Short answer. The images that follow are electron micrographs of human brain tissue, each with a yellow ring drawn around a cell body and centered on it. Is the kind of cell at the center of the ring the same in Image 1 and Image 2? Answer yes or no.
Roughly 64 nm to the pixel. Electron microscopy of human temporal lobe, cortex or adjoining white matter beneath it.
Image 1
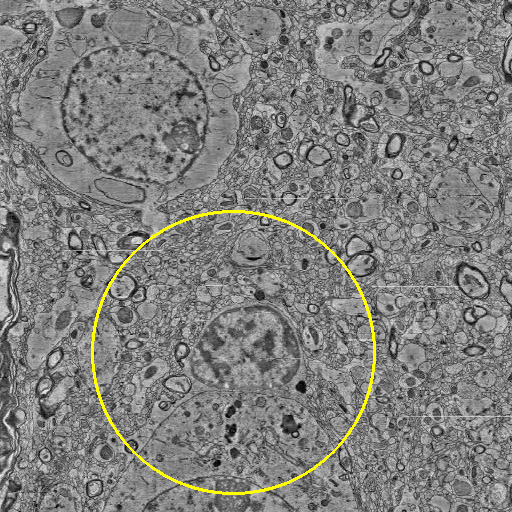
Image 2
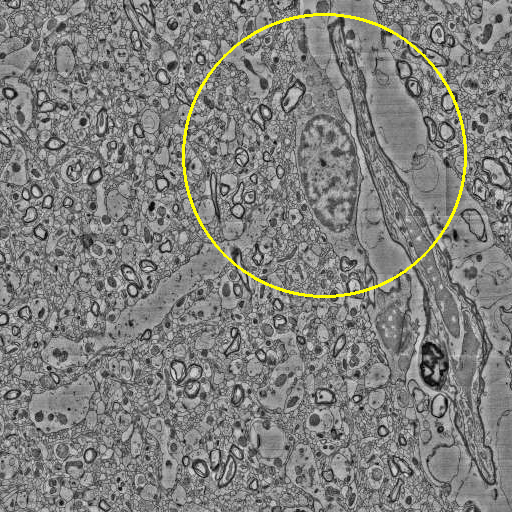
yes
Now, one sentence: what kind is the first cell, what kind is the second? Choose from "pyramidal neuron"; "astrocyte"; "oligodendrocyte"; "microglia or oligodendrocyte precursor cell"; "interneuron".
In both pictures the ring is centred on an oligodendrocyte.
